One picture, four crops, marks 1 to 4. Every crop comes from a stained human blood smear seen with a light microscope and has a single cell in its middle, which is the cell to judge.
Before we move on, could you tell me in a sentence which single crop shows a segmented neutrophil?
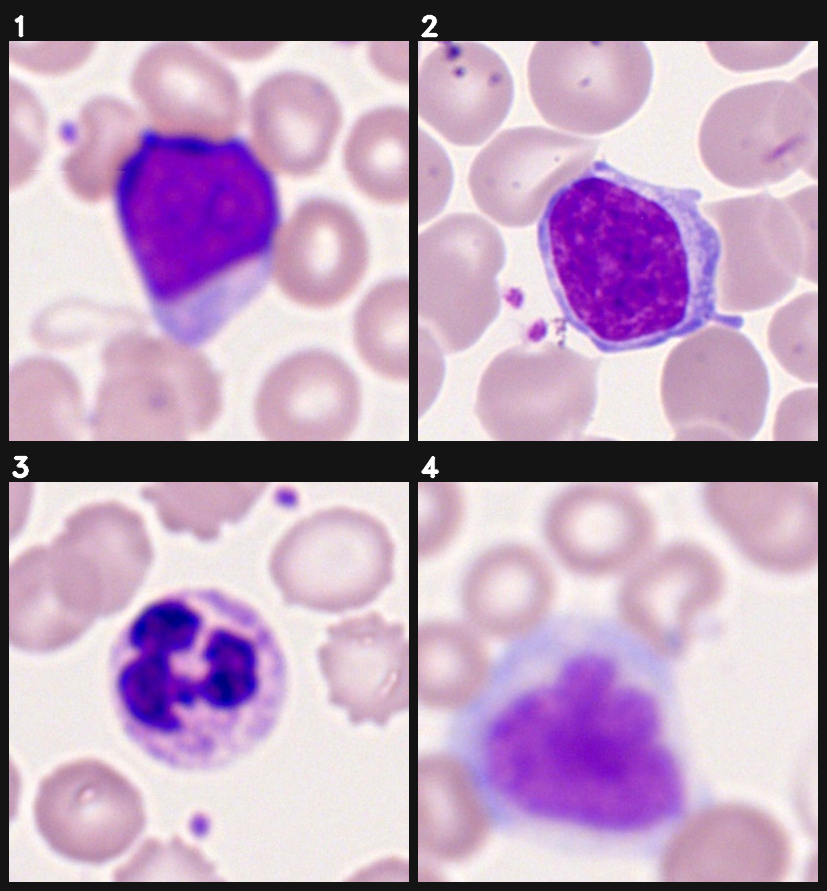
On review of the set, crop 3 is the one showing a segmented neutrophil.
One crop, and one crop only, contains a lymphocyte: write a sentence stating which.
Crop 2 is the one in the set with a lymphocyte at the center.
